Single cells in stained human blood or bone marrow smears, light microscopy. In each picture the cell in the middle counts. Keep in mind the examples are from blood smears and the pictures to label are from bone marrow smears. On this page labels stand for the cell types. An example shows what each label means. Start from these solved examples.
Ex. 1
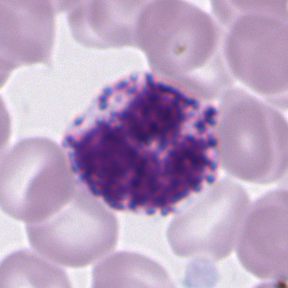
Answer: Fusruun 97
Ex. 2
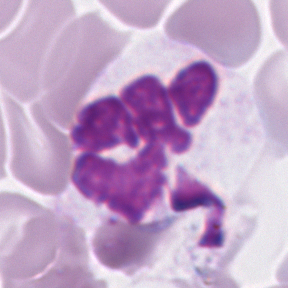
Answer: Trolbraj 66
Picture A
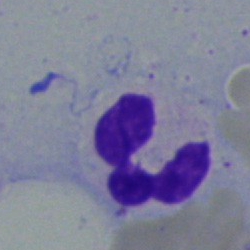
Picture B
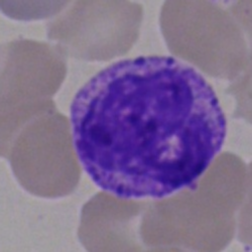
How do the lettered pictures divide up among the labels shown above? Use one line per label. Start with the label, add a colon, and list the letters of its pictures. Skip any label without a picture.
Fusruun 97: B
Trolbraj 66: A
